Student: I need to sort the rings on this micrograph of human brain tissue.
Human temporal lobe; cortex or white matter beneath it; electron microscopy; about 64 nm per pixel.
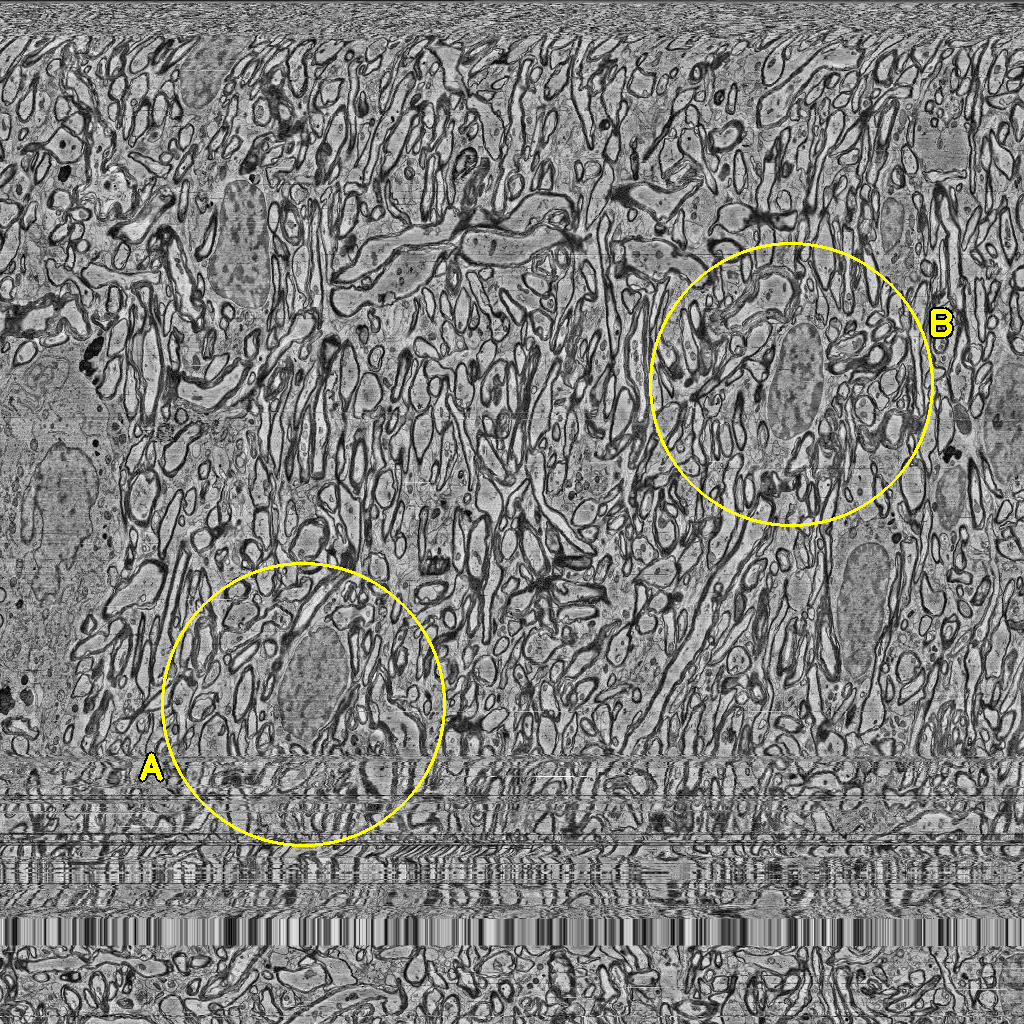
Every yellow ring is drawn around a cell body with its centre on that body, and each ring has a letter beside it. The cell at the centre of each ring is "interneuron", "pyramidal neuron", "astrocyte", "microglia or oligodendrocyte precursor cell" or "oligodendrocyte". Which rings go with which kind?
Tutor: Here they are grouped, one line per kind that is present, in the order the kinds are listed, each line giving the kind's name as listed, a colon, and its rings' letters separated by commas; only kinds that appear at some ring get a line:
microglia or oligodendrocyte precursor cell: B
oligodendrocyte: A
